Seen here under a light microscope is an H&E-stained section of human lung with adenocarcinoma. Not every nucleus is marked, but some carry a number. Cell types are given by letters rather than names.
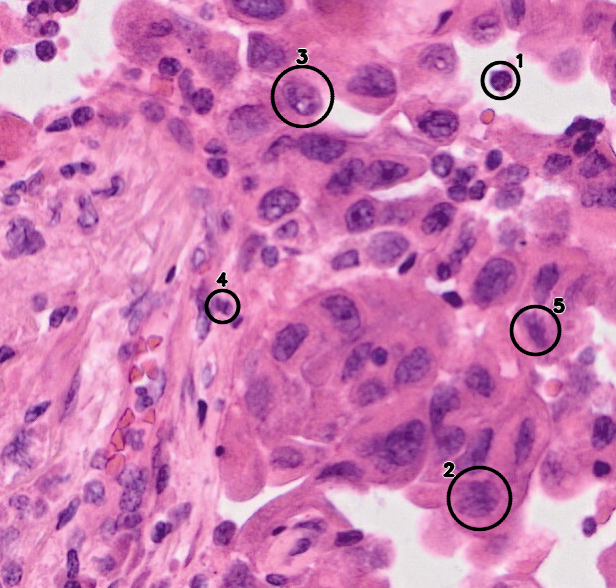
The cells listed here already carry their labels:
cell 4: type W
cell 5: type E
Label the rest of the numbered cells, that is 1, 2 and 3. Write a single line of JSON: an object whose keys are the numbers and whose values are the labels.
{"1": "type W", "2": "type E", "3": "type E"}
